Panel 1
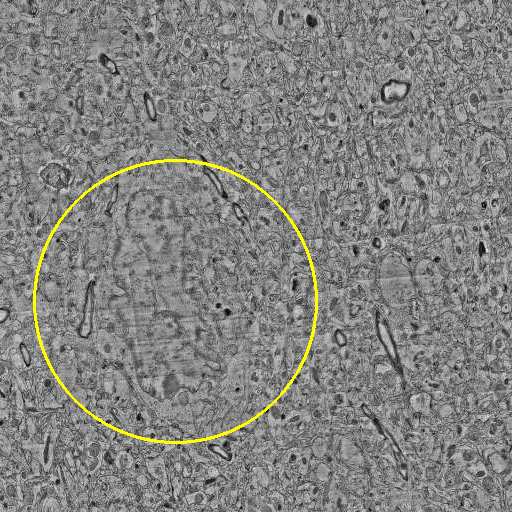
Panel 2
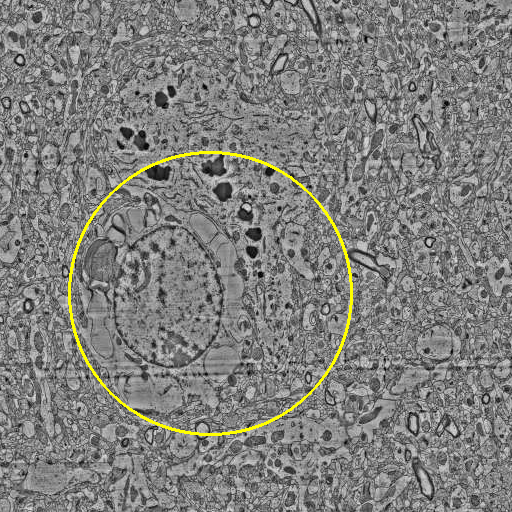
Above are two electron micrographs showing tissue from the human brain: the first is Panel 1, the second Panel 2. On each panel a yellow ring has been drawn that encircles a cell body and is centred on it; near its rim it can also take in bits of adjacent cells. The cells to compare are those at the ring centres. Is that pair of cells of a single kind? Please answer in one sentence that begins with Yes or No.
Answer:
No, the ring-centred cells of Panel 1 and Panel 2 belong to two kinds.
